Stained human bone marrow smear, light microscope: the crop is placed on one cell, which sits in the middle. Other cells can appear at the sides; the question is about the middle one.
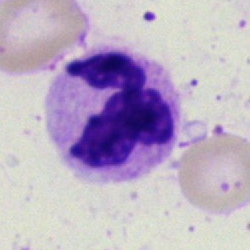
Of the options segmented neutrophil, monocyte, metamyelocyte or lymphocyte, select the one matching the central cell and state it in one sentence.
The centrally placed cell is classified as a segmented neutrophil.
